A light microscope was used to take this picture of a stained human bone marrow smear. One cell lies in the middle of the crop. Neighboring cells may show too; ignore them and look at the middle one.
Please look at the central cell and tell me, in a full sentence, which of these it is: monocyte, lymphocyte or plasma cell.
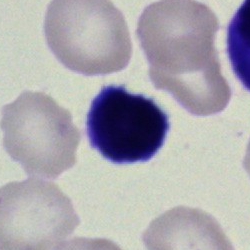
Classification of the middle cell gives a lymphocyte.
